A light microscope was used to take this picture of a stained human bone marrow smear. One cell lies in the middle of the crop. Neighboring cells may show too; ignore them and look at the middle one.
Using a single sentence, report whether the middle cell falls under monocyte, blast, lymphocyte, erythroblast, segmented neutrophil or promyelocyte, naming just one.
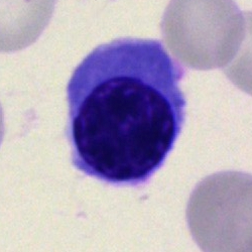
As for the central cell, it is an erythroblast.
